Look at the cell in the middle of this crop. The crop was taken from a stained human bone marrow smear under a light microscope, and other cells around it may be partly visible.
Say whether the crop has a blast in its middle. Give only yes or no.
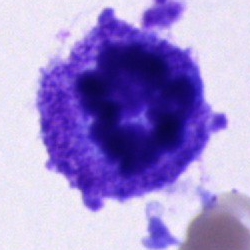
no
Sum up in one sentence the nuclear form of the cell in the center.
Two or more lobes make up the nucleus of this cell.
